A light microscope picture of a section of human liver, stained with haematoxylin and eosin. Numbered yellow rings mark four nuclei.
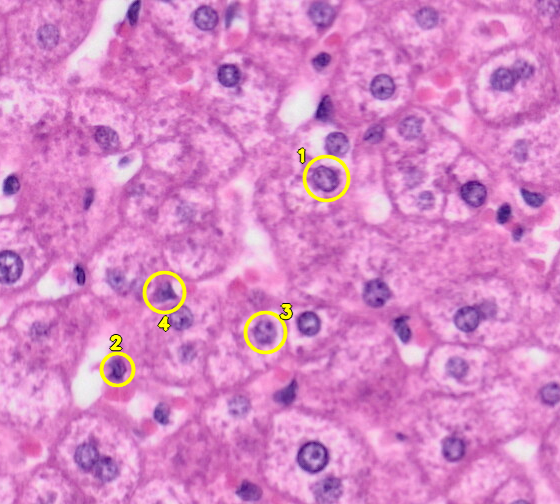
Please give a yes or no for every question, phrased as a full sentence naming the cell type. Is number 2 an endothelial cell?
No, as for cell 2, it is a Kupffer cell and not an endothelial cell.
